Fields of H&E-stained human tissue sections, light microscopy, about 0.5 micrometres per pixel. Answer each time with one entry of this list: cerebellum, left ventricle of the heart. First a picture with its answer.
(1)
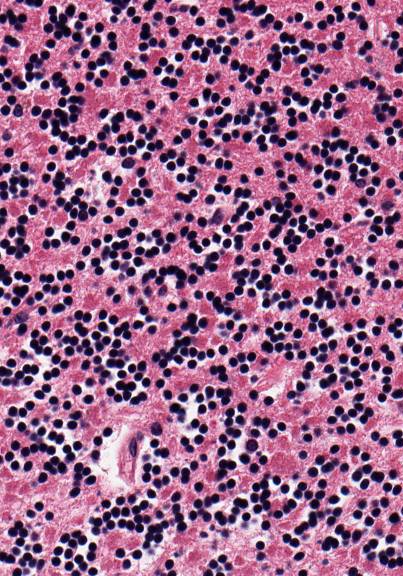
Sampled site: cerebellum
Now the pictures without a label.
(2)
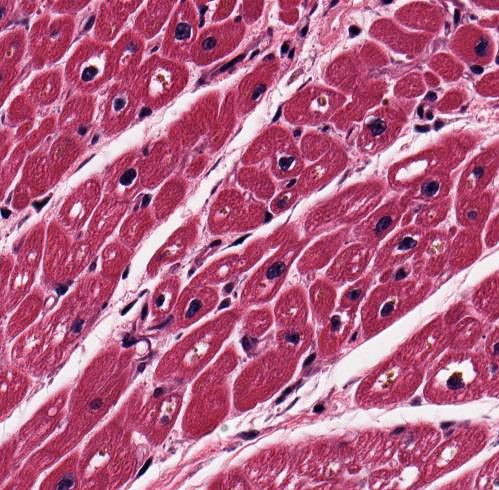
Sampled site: left ventricle of the heart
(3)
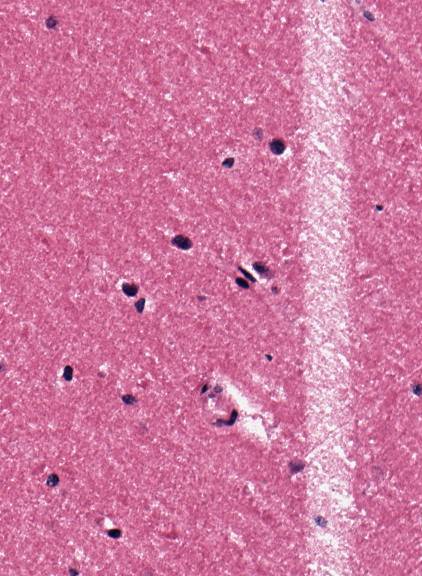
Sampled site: cerebellum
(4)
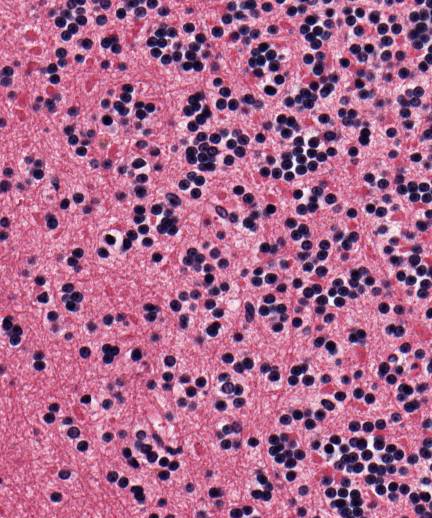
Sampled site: cerebellum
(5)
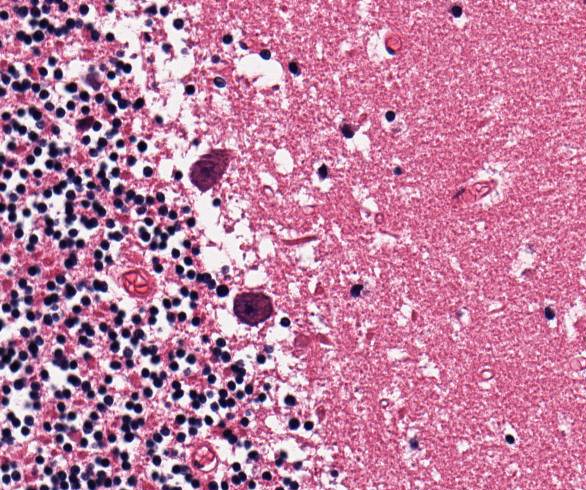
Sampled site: cerebellum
